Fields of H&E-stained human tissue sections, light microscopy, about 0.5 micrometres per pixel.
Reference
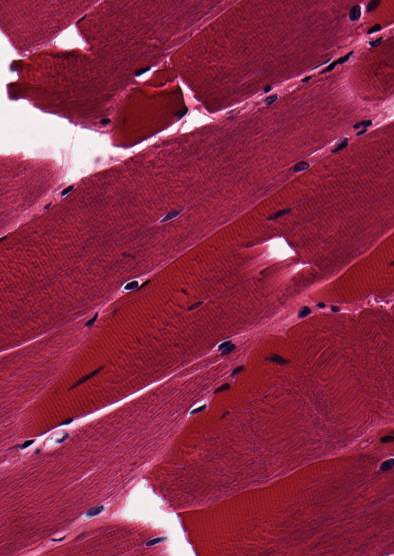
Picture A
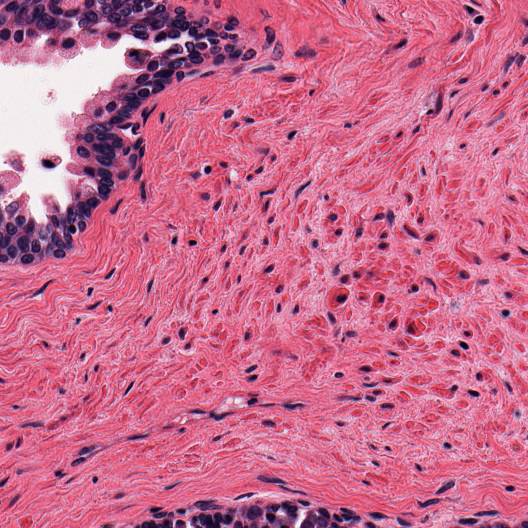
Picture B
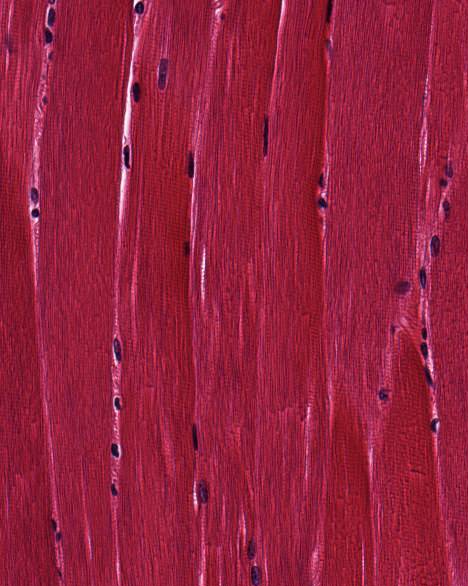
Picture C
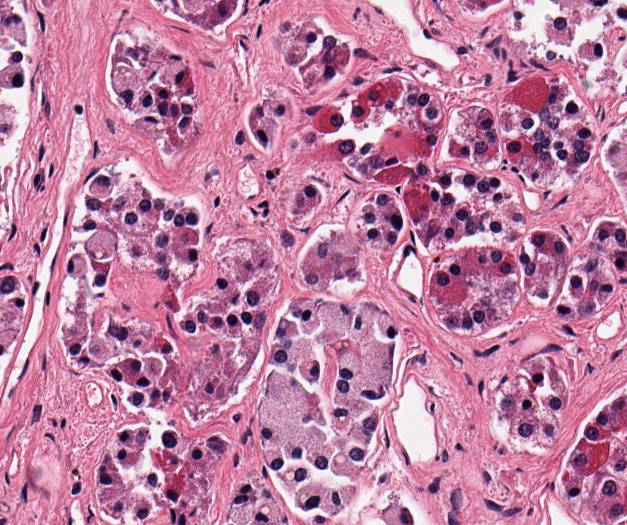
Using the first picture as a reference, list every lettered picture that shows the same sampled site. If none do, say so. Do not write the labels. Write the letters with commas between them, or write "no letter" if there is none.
B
